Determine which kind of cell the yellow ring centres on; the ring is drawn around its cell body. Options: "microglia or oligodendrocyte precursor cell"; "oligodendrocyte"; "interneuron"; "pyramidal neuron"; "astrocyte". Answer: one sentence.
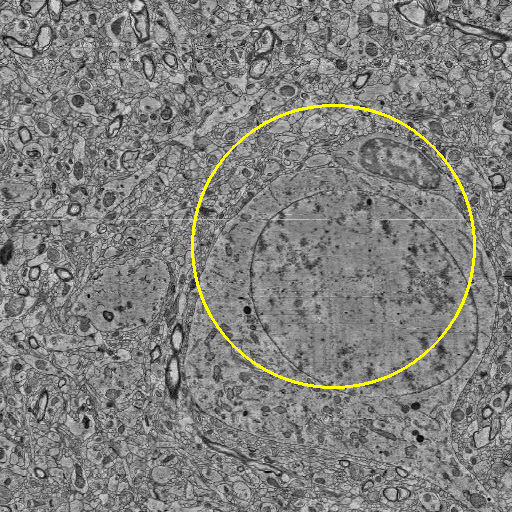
The ring centres on a pyramidal neuron.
